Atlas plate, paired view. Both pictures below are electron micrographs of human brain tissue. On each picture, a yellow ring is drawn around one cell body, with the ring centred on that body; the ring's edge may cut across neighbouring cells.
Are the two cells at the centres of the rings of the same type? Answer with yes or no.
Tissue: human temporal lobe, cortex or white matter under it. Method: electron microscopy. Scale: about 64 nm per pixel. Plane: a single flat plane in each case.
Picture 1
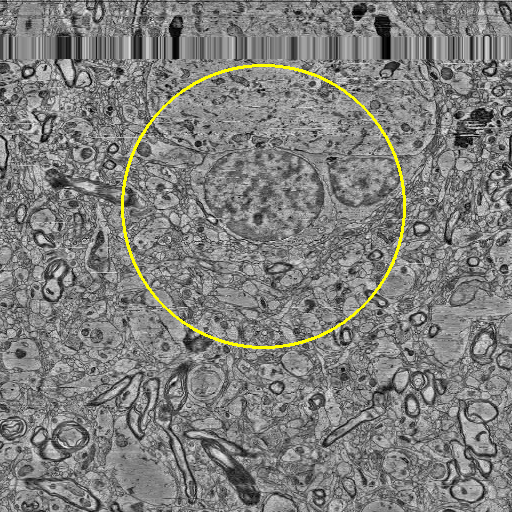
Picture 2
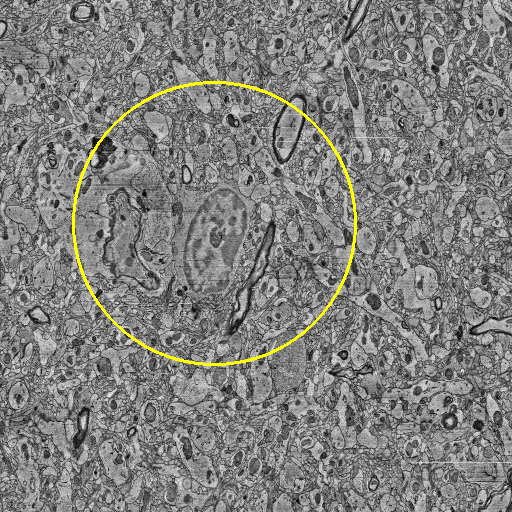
yes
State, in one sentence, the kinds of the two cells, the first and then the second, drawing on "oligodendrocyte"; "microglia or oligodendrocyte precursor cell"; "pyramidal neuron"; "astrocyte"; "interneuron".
Each of the two rings is centred on an oligodendrocyte.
